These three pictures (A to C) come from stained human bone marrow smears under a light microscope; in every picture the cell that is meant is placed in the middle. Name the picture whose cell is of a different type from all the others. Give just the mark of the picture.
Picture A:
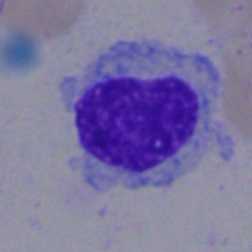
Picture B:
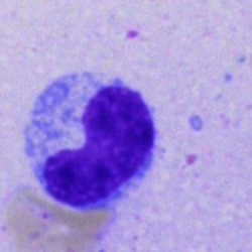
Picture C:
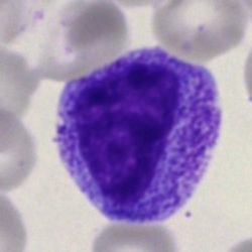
C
